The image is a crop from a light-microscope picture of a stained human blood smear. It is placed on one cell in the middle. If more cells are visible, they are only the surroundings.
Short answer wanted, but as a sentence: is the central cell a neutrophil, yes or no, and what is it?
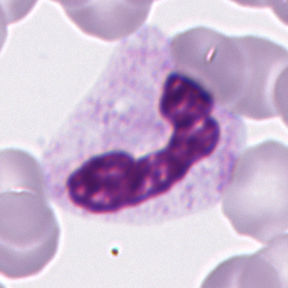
Yes, the middle cell in this crop is a neutrophil.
